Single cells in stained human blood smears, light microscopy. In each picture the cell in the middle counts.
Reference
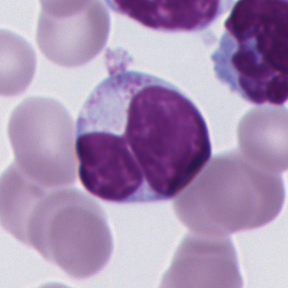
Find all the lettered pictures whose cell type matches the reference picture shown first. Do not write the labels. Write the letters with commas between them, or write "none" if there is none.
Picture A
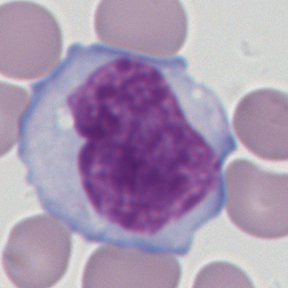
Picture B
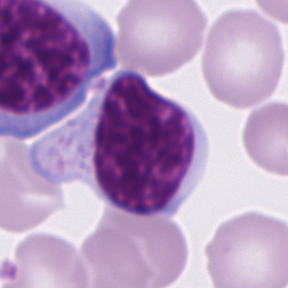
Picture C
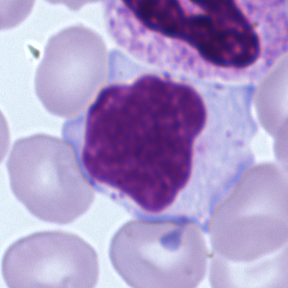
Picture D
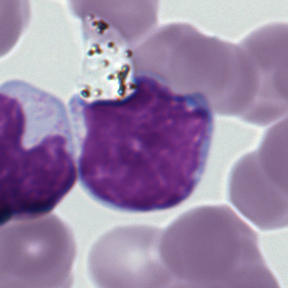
B, C, D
